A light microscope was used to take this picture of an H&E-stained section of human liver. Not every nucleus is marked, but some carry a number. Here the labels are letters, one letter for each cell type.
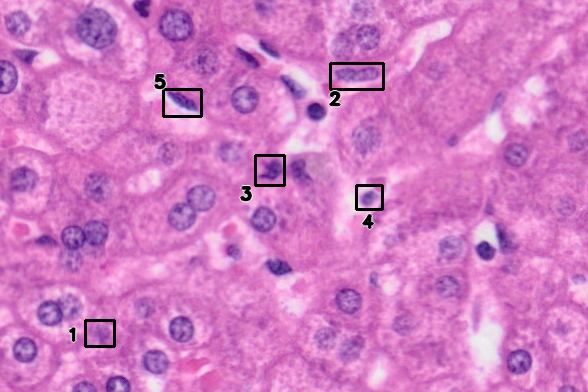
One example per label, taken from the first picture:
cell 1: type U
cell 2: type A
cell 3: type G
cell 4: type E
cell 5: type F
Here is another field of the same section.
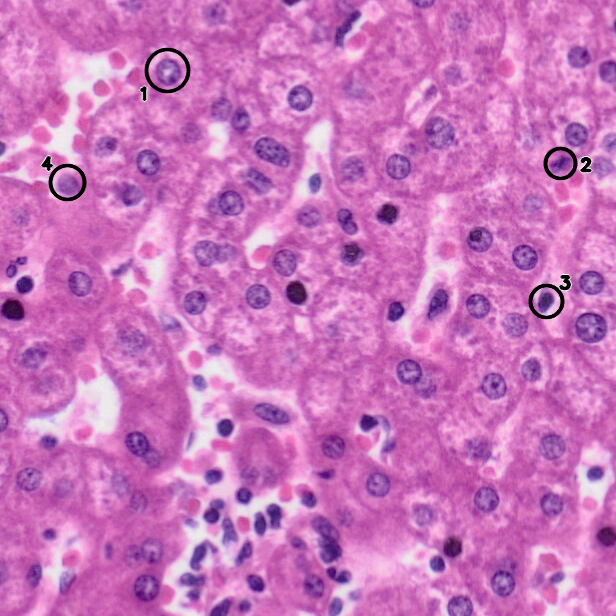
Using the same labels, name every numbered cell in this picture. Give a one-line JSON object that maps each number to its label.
{"1": "type U", "2": "type G", "3": "type E", "4": "type A"}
